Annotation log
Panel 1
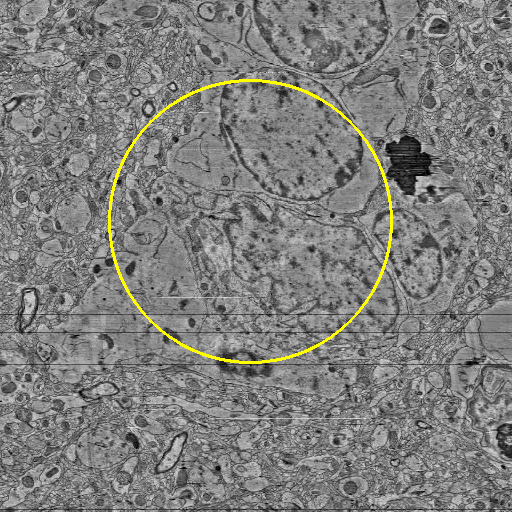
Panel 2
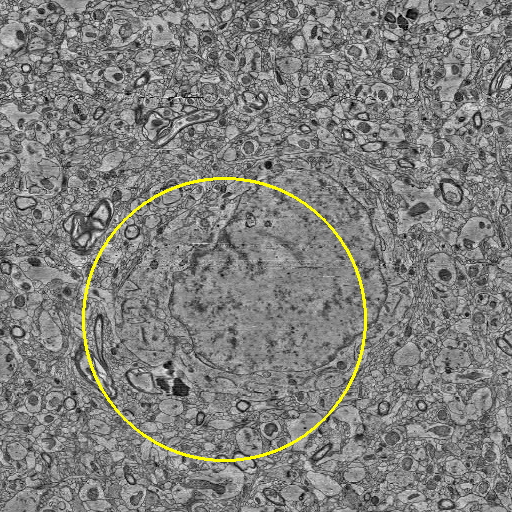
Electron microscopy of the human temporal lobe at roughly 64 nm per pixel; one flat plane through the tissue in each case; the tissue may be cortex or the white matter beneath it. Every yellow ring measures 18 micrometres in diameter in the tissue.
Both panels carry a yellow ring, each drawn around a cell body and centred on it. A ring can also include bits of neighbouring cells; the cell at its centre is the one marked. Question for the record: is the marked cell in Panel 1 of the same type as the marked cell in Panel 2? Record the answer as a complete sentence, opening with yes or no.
Yes, the marked cells in Panel 1 and Panel 2 are of the same type.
